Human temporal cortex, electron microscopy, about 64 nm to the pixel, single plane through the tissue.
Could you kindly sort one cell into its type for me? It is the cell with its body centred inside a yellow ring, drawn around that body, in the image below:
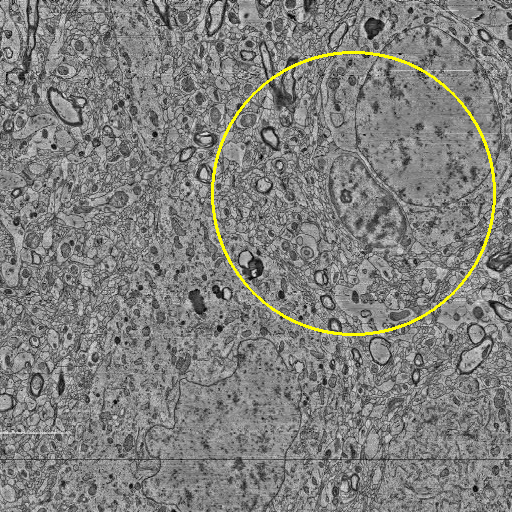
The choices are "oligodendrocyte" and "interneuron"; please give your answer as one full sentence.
The cell whose body lies centred in the yellow ring here is an oligodendrocyte.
